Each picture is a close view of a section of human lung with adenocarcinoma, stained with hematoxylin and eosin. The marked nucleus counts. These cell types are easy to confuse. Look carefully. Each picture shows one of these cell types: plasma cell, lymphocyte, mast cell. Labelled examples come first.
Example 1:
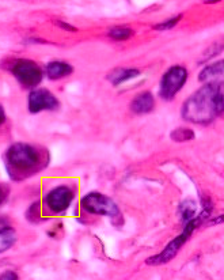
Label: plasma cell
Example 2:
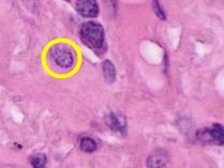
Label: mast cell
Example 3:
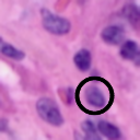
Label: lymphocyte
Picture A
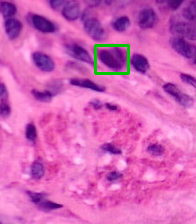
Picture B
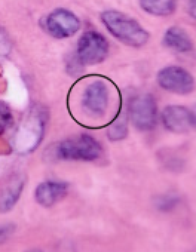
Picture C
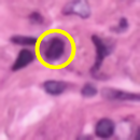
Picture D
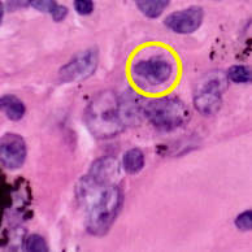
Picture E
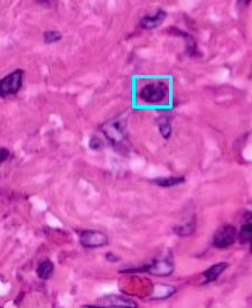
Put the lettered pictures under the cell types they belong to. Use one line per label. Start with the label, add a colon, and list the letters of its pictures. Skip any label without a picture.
plasma cell: A, C, E
lymphocyte: D
mast cell: B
